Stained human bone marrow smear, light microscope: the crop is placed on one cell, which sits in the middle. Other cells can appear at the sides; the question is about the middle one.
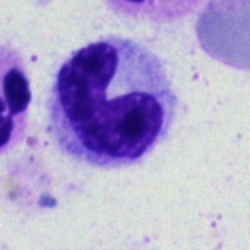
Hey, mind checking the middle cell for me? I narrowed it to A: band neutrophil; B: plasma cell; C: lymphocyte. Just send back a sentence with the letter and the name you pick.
Option A is accurate; the centrally placed cell is a band neutrophil.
